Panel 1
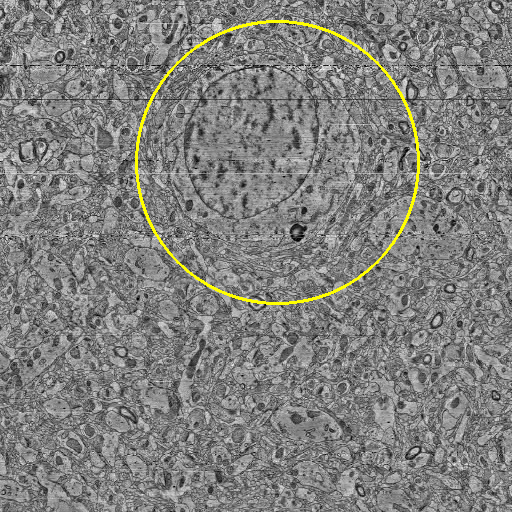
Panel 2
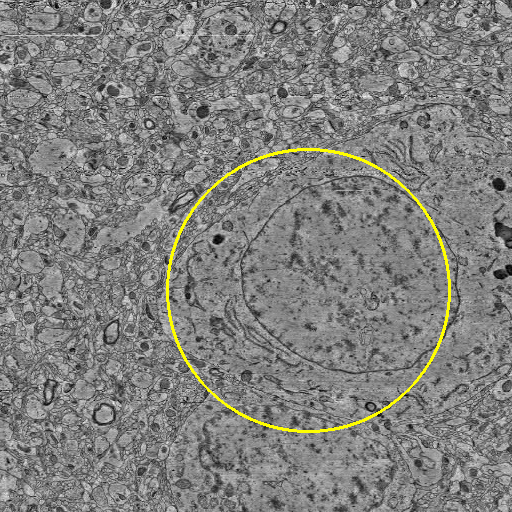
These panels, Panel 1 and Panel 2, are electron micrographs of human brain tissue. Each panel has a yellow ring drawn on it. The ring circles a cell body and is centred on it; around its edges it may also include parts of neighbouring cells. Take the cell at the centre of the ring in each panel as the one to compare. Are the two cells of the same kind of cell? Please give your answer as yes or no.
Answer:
yes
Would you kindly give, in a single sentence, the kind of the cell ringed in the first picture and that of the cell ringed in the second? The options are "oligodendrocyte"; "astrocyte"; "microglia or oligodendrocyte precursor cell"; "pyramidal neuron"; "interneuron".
Each of the two rings is centred on a pyramidal neuron.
